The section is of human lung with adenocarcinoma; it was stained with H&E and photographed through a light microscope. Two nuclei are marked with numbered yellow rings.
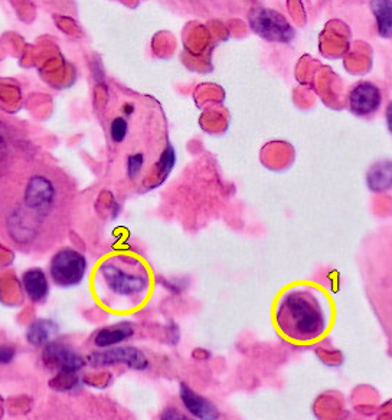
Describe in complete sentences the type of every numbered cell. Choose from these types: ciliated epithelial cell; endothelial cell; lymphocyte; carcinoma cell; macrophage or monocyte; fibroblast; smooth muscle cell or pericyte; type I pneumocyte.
Cell 1 is a macrophage or monocyte. Cell 2 is a type I pneumocyte.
